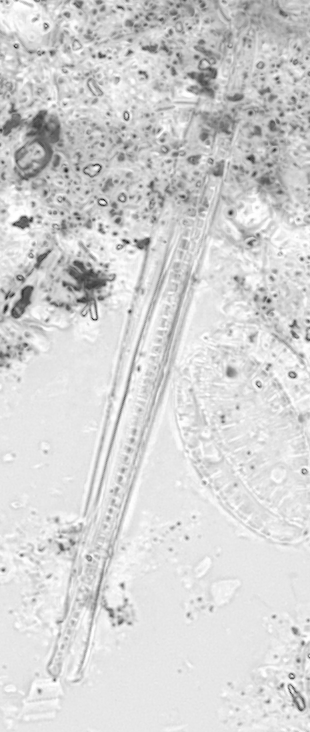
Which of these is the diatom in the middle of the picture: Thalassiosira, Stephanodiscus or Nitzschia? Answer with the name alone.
Nitzschia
